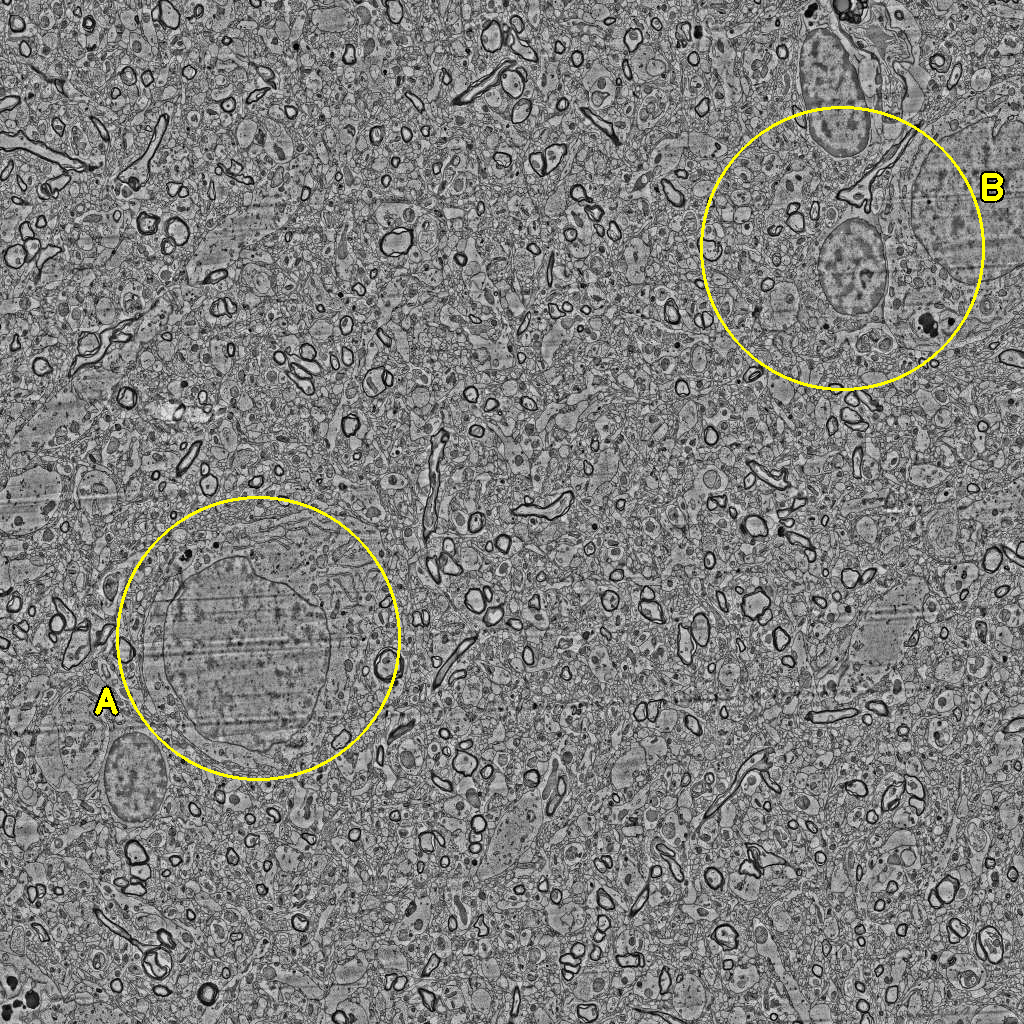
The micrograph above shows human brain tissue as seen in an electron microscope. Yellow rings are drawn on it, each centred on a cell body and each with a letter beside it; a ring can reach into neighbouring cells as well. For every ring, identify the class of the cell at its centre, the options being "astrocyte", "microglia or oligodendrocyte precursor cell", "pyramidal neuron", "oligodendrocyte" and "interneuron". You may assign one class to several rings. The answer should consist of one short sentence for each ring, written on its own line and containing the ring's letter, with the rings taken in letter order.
The ring lettered A is centred on a pyramidal neuron.
The ring lettered B is centred on an oligodendrocyte.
